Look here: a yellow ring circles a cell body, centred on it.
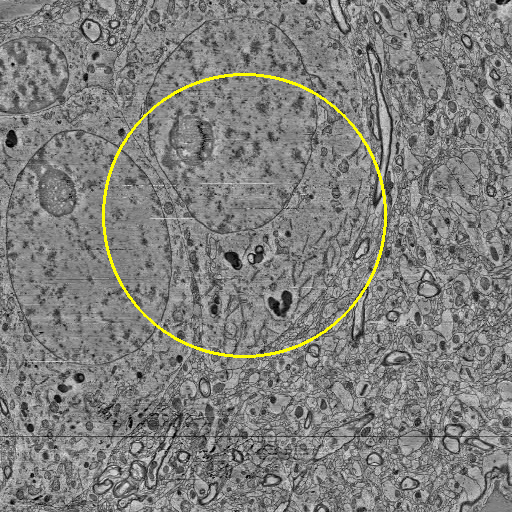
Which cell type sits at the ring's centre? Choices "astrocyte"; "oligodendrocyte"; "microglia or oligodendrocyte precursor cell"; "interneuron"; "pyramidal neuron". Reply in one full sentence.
The cell at the centre of the yellow ring in the picture is a pyramidal neuron.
